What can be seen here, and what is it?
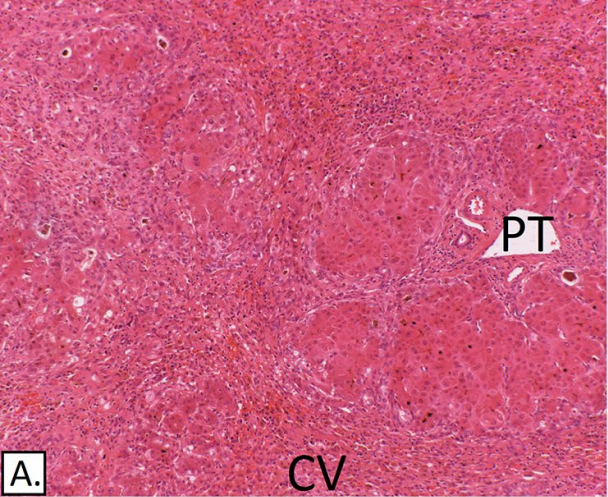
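Liver with pink hepatocytes grouped into rounded nodules, separated by broad bands of paler tissue. These bands are crowded with small dark nuclei. At the right a portal tract holds an open vessel and small ducts. The normal regular plate arrangement of hepatocytes is lost.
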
